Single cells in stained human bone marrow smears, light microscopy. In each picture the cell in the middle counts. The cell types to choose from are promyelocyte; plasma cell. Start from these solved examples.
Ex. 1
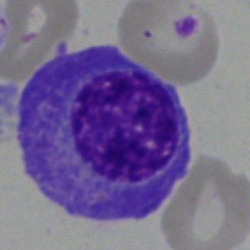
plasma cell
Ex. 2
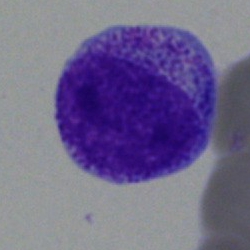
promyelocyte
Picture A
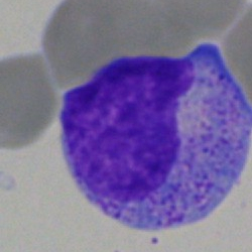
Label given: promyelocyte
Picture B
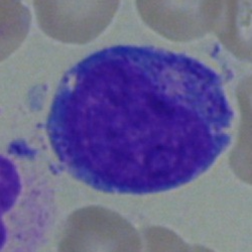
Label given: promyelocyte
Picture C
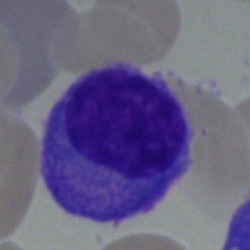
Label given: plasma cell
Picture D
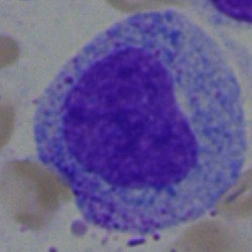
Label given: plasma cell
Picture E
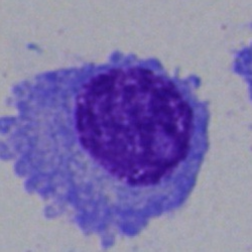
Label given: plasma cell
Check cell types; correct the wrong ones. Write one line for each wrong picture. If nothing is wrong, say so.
D should be promyelocyte, not plasma cell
